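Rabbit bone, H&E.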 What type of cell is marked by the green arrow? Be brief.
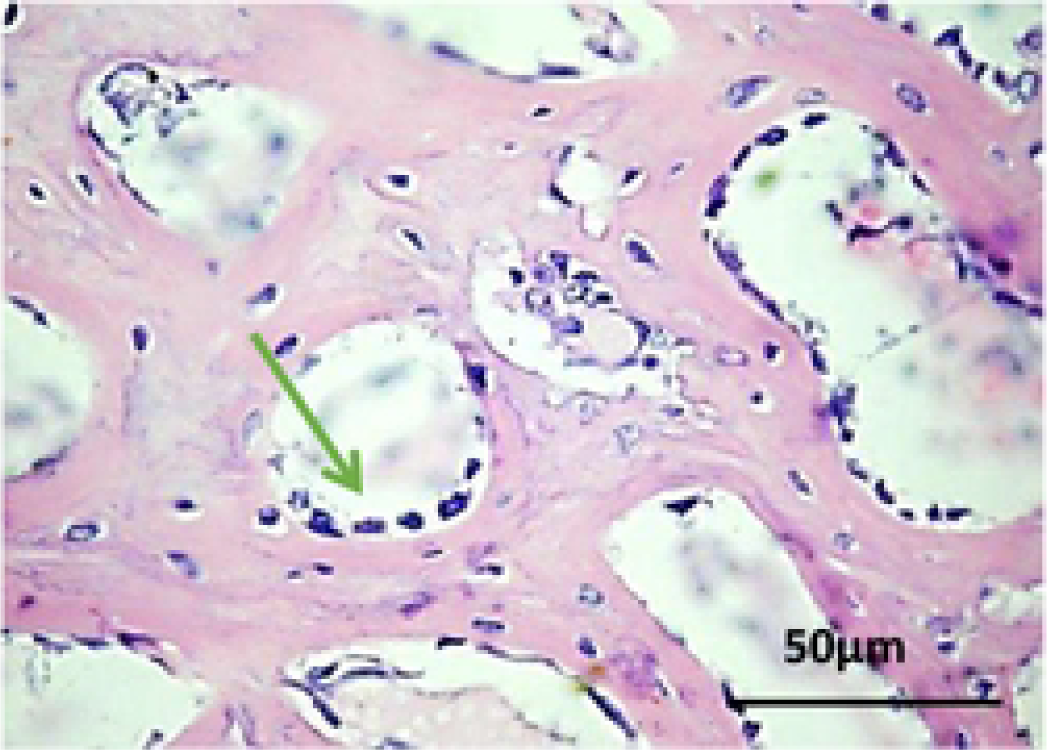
osteoblasts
